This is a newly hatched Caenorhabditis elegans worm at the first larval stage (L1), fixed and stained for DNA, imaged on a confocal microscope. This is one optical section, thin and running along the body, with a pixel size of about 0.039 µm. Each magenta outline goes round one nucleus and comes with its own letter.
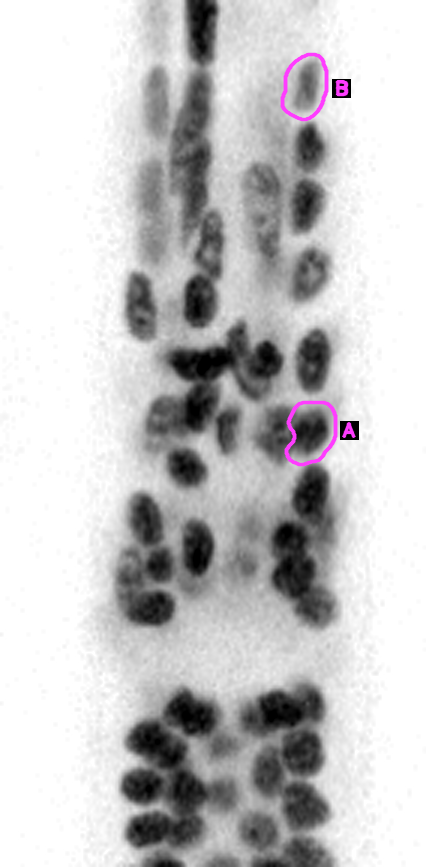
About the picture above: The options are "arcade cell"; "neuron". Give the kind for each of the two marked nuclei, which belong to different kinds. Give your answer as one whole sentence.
Nucleus A comes from a neuron and nucleus B from an arcade cell.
